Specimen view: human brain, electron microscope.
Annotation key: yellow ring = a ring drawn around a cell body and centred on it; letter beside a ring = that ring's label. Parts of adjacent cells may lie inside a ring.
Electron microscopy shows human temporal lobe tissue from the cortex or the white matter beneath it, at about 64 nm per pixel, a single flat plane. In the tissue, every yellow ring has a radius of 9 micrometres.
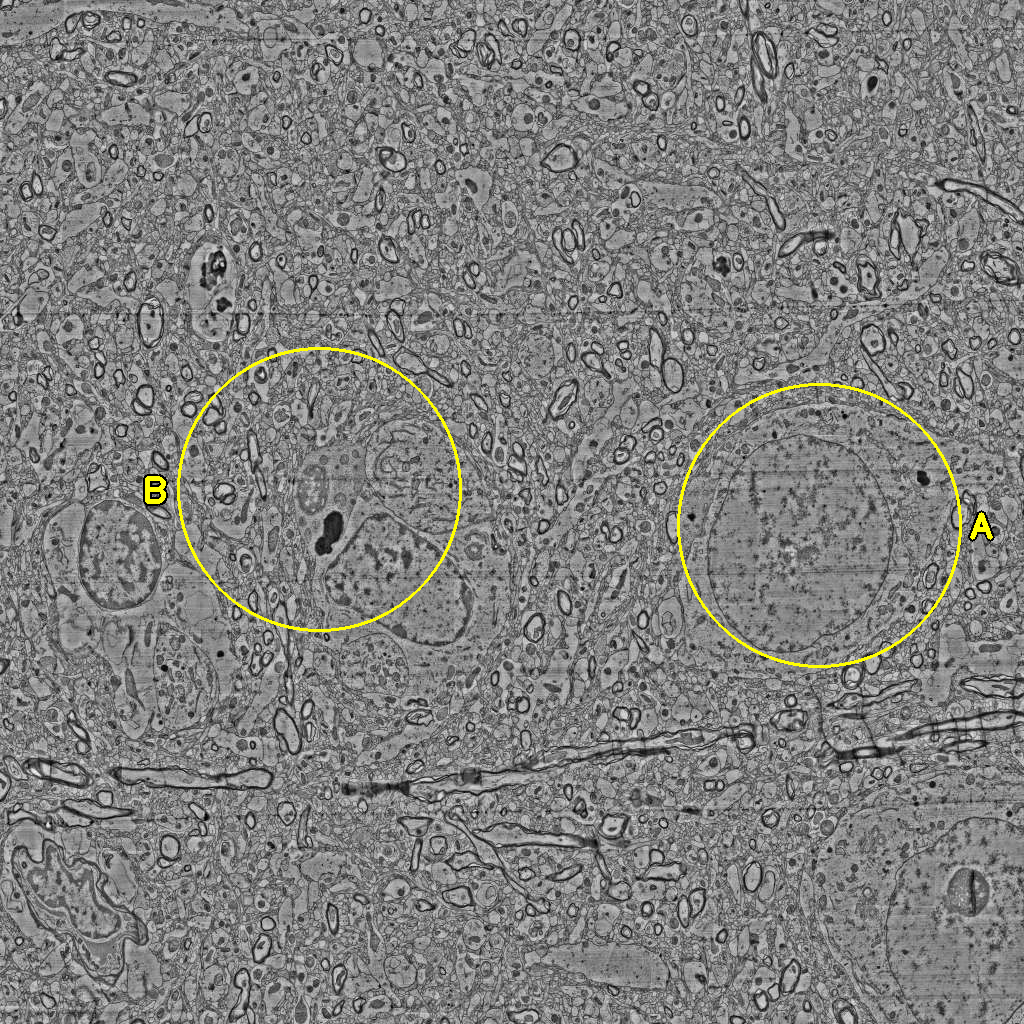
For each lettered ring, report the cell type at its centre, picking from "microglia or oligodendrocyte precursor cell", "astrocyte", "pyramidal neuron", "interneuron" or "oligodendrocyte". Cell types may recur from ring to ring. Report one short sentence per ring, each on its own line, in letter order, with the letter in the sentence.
The cell at the centre of ring A is a pyramidal neuron.
The cell at the centre of ring B is an oligodendrocyte.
